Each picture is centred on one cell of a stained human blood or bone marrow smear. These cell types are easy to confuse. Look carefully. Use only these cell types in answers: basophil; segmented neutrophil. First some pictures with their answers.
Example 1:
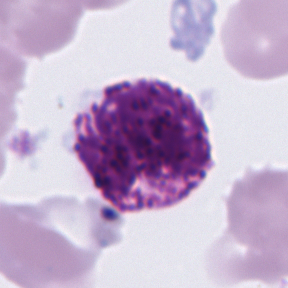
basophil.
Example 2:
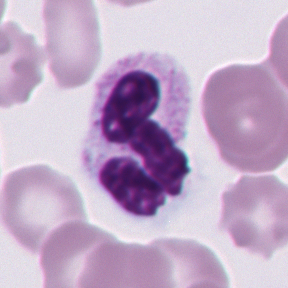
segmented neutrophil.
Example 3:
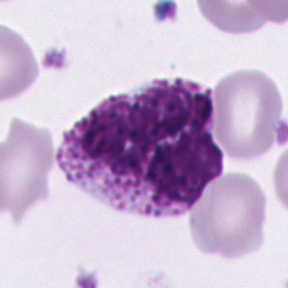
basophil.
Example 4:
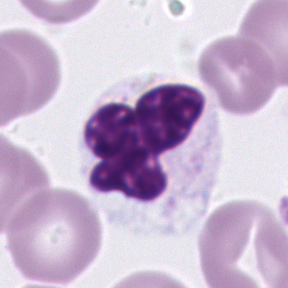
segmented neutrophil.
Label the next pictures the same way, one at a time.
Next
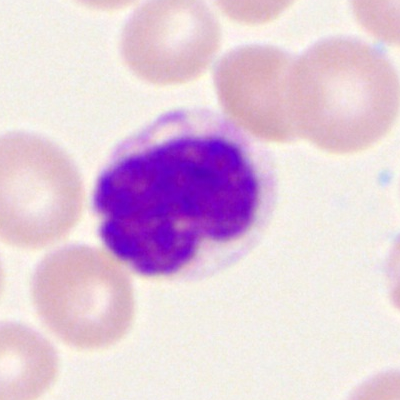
basophil.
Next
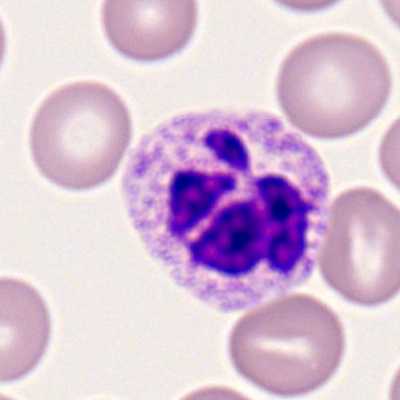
segmented neutrophil.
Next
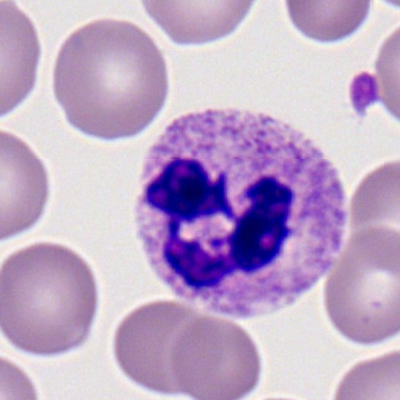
segmented neutrophil.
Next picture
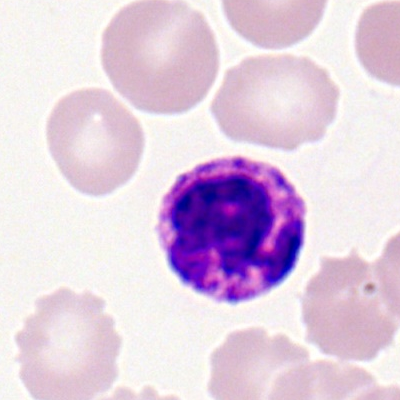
basophil.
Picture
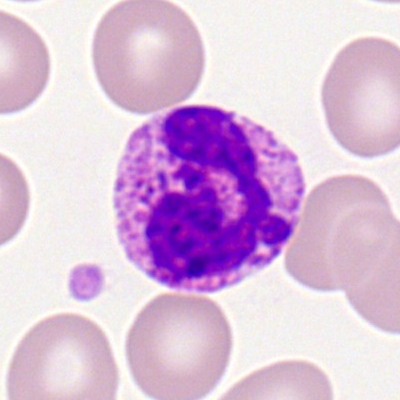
basophil.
